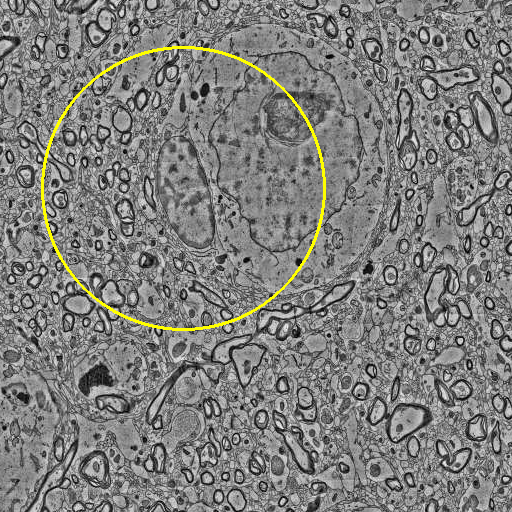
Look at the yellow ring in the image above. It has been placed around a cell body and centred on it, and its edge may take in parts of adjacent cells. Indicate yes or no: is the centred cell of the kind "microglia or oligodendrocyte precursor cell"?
yes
